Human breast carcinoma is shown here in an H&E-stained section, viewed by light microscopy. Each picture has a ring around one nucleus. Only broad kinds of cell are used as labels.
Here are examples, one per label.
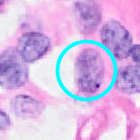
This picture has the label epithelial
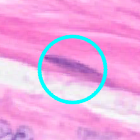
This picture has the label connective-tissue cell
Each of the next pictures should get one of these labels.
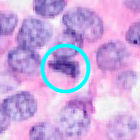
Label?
epithelial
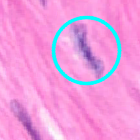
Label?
connective-tissue cell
